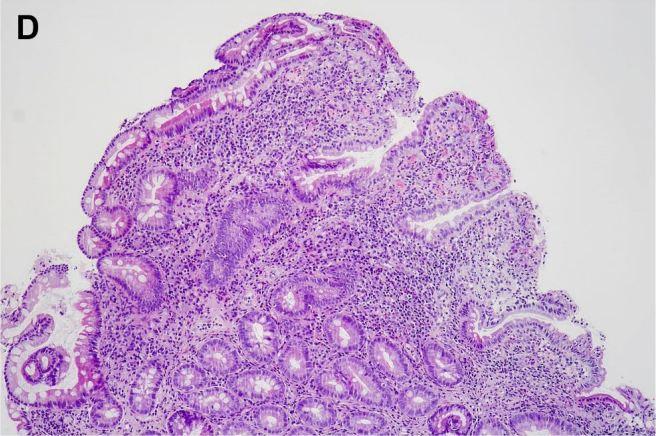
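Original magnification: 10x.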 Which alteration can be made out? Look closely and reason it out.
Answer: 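Atrophy. The surface is flattened and irregular without tall villi.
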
